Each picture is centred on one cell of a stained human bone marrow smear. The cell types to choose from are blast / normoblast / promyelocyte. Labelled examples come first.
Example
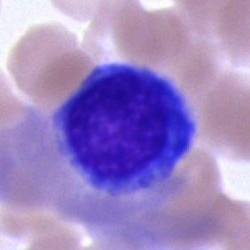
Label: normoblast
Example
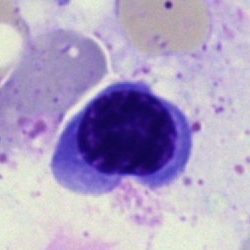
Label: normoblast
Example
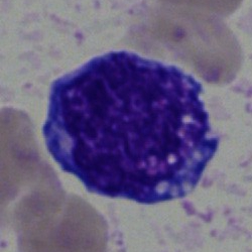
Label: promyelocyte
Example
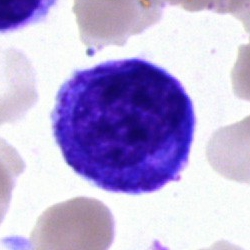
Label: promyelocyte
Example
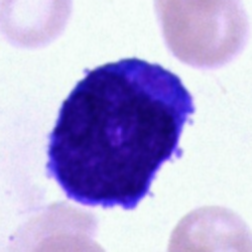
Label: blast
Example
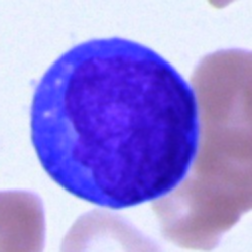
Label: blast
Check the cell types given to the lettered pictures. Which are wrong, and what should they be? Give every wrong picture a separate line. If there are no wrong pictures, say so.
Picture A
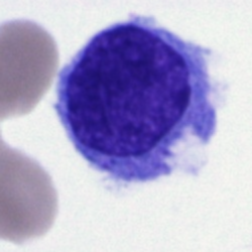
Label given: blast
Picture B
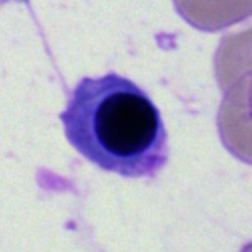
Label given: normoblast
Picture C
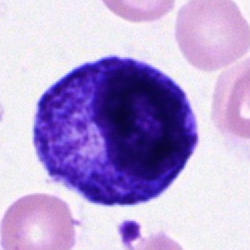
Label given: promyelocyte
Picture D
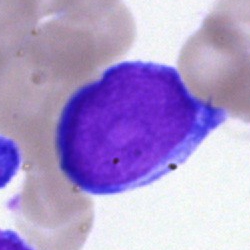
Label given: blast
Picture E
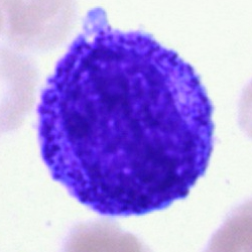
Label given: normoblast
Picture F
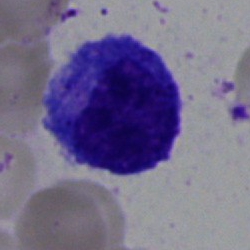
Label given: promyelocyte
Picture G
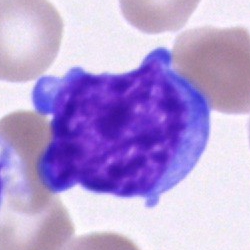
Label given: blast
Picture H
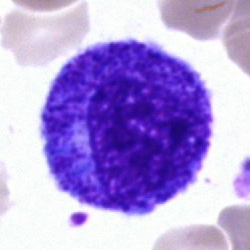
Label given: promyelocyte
E: change normoblast to promyelocyte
